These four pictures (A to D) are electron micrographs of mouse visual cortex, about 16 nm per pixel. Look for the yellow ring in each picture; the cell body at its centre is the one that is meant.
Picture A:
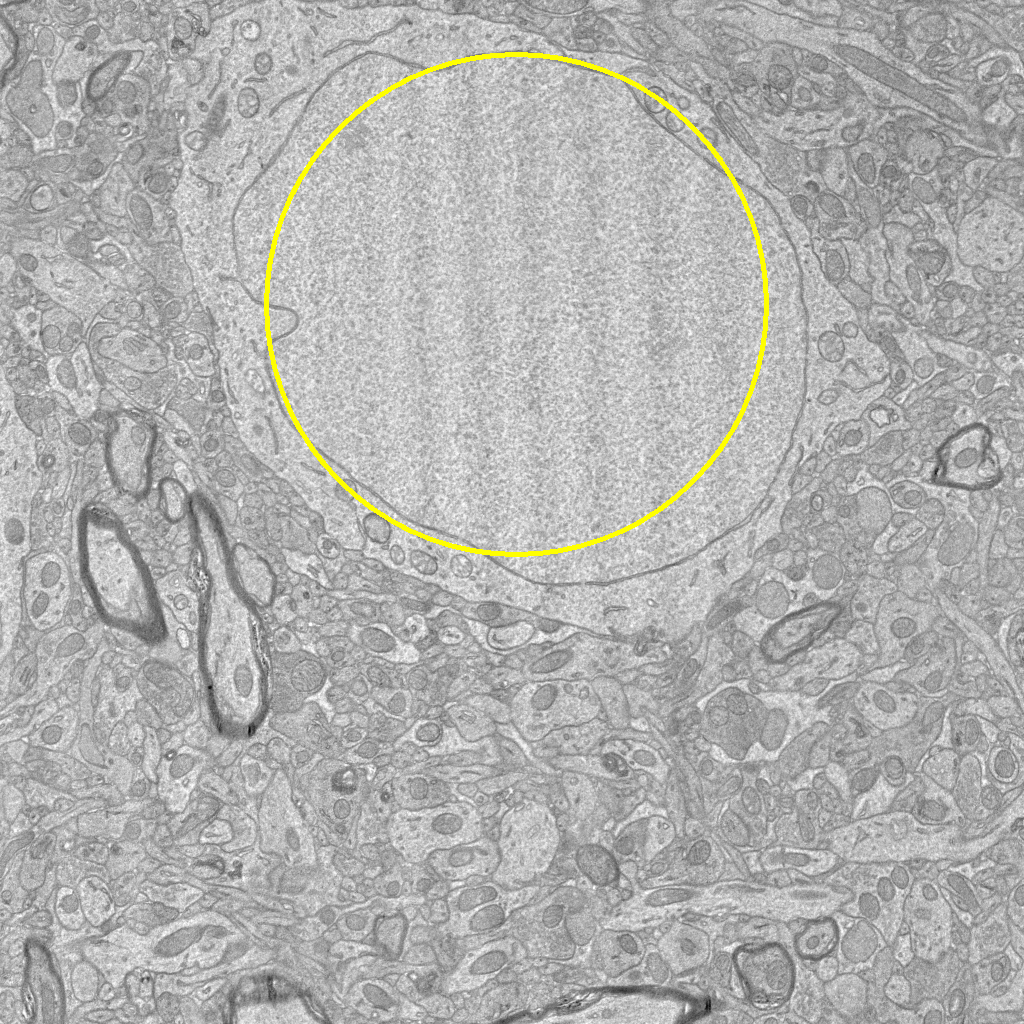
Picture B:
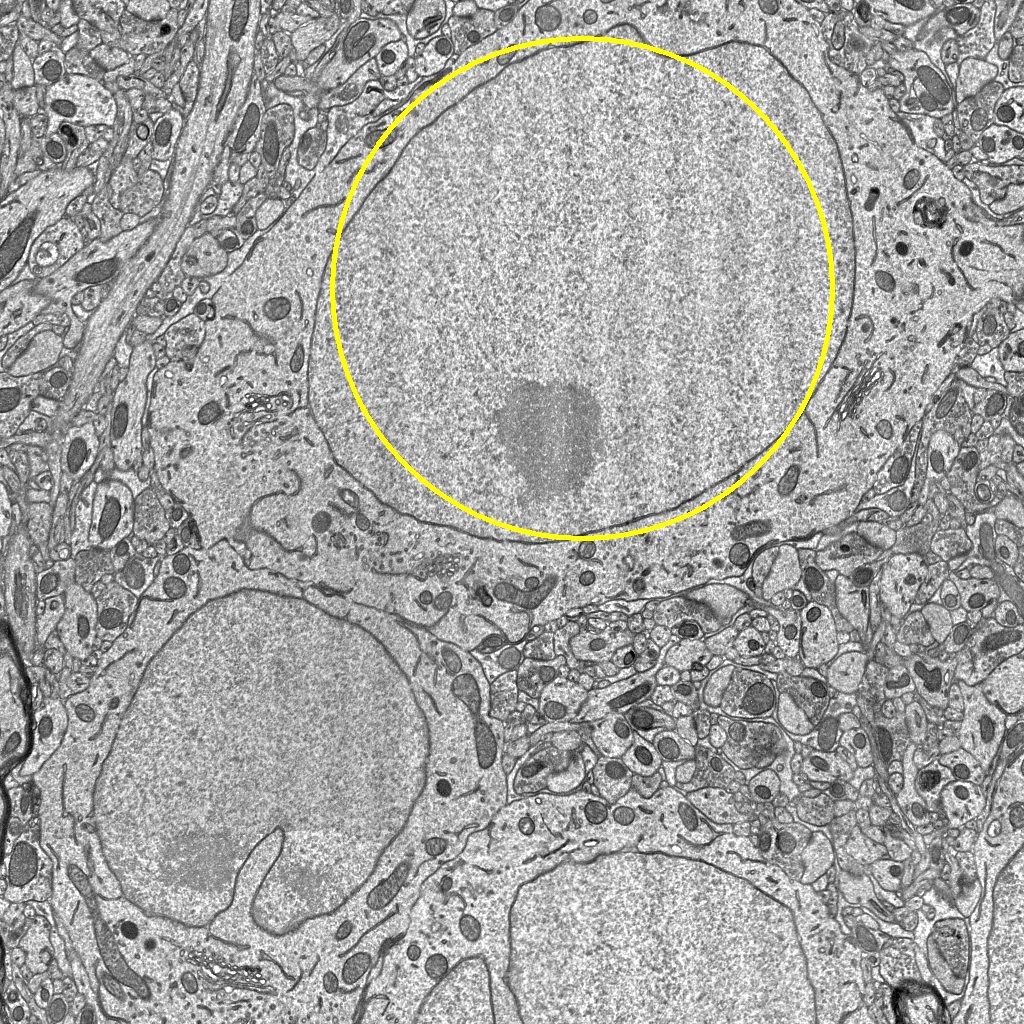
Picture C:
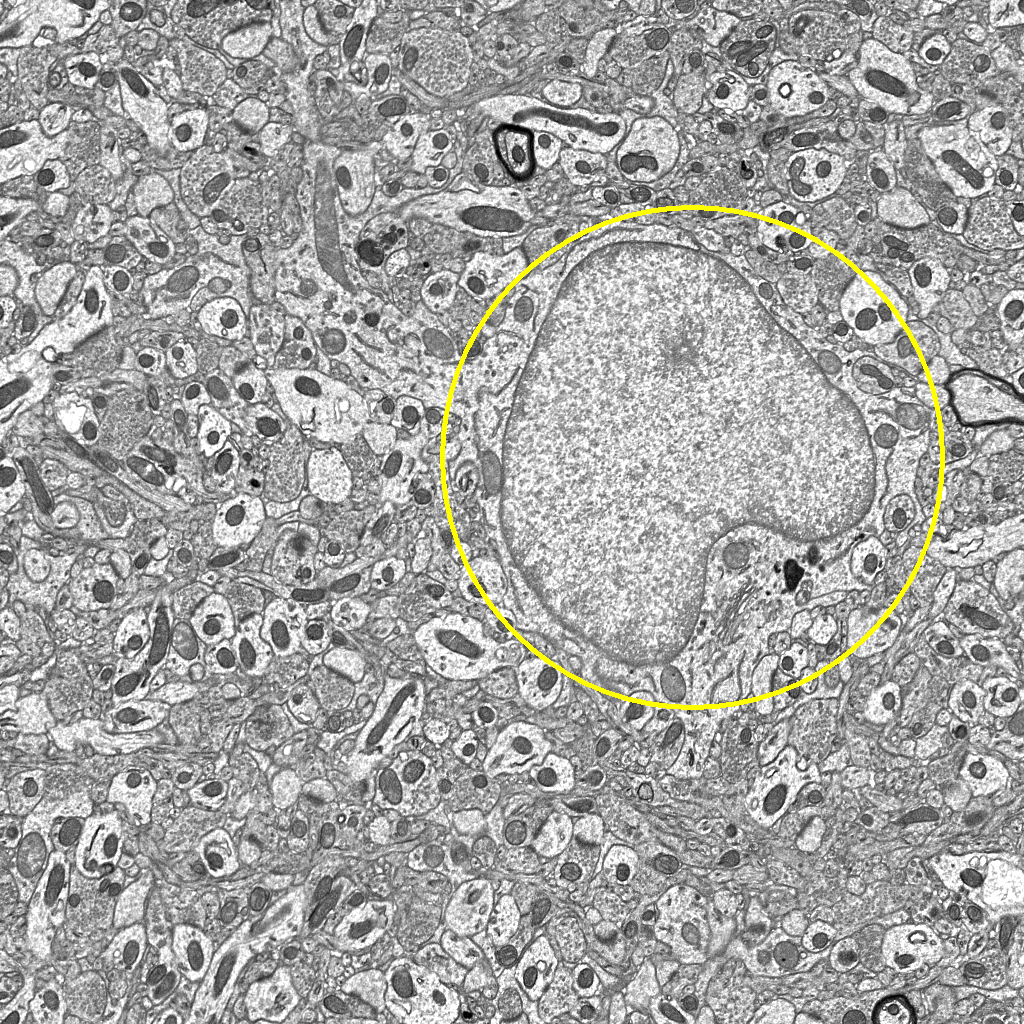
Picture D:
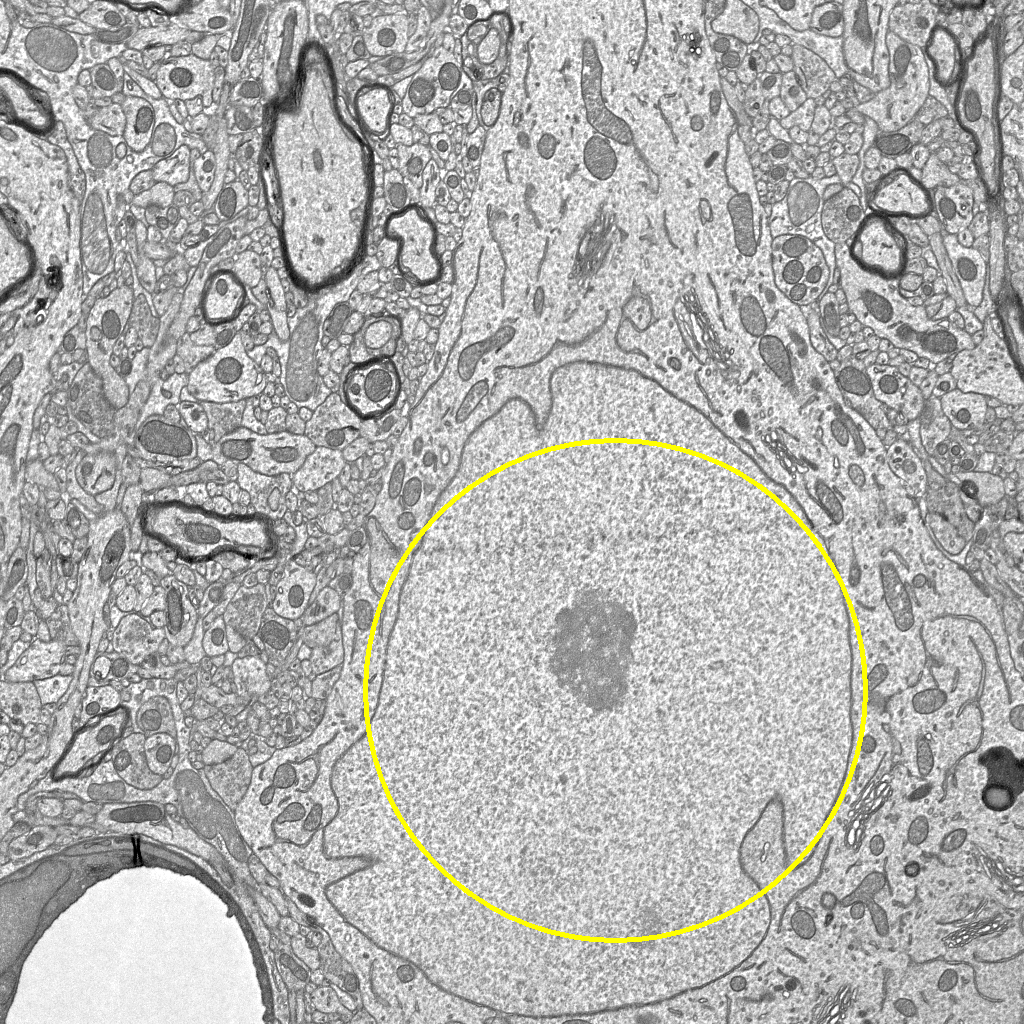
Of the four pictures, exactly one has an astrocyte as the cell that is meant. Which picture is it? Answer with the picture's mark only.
C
